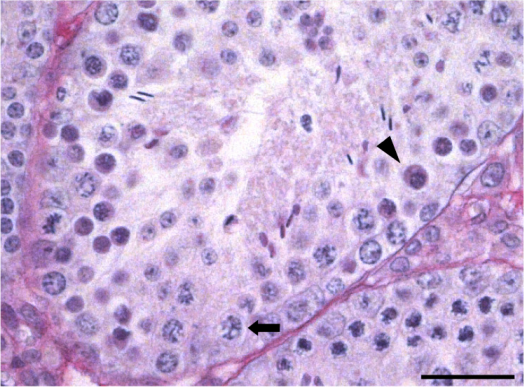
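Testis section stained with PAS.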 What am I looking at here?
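This is a cross-section of a seminiferous tubule with its layered germ cells, stained pink and purple. The tubule is bounded by a thin pink wall, with pink interstitial tissue outside it. Within the wall, large spermatocytes with round nuclei and coarse, thread-like chromatin fill the middle layers, and smaller round cells lie nearer the lumen. A few slender, dark, elongated sperm heads lie scattered near the centre, and the lumen holds pale pink fibrillar material.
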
